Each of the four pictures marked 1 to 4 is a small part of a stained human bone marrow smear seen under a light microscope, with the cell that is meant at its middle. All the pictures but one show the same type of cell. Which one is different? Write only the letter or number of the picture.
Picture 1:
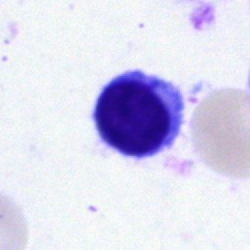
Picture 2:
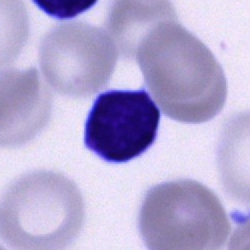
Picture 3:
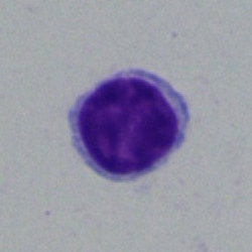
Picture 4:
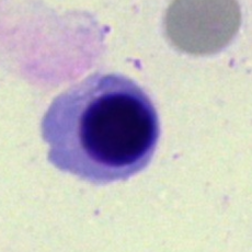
4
